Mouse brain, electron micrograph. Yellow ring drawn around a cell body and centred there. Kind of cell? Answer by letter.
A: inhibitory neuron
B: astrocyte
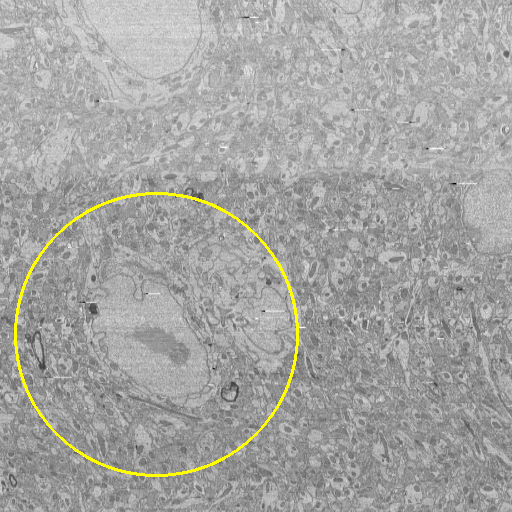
A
